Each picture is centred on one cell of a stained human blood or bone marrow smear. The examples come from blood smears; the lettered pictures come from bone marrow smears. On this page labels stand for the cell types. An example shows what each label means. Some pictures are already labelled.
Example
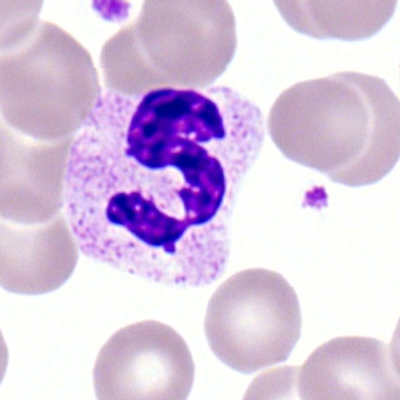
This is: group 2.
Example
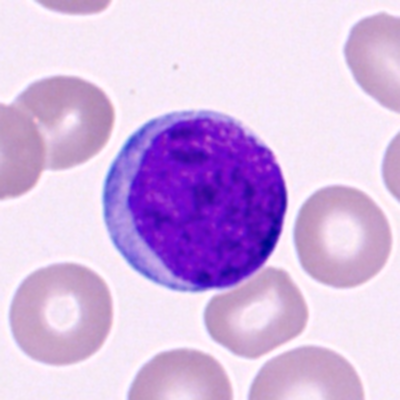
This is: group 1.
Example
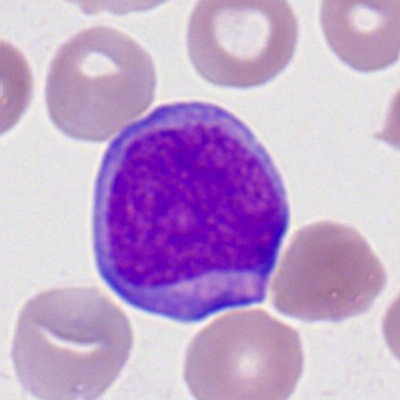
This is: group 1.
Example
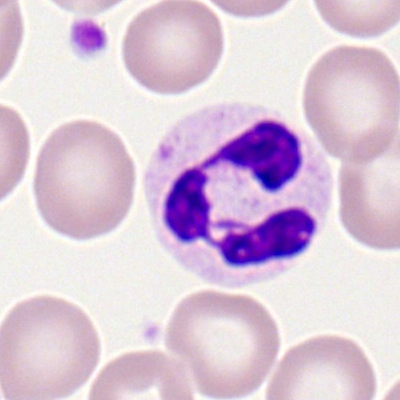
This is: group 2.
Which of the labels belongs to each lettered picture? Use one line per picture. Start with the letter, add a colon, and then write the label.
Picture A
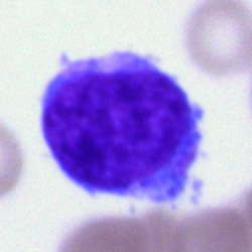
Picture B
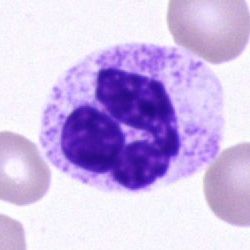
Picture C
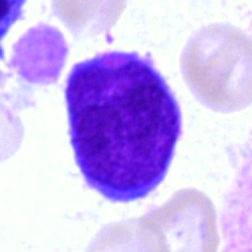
A: group 1.
B: group 2.
C: group 1.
